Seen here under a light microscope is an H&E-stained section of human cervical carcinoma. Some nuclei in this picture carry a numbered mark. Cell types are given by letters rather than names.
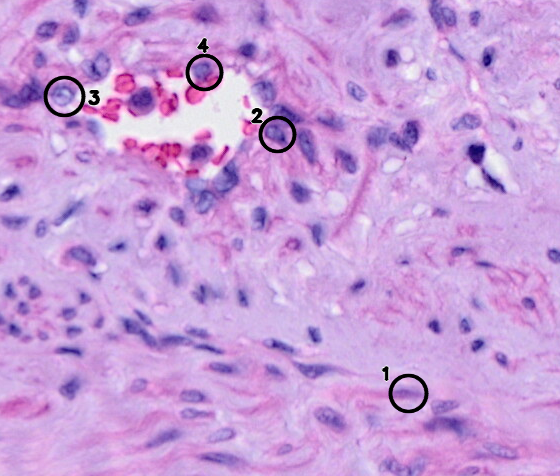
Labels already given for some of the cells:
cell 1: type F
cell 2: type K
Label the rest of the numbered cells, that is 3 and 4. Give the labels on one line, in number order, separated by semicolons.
type K; type K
